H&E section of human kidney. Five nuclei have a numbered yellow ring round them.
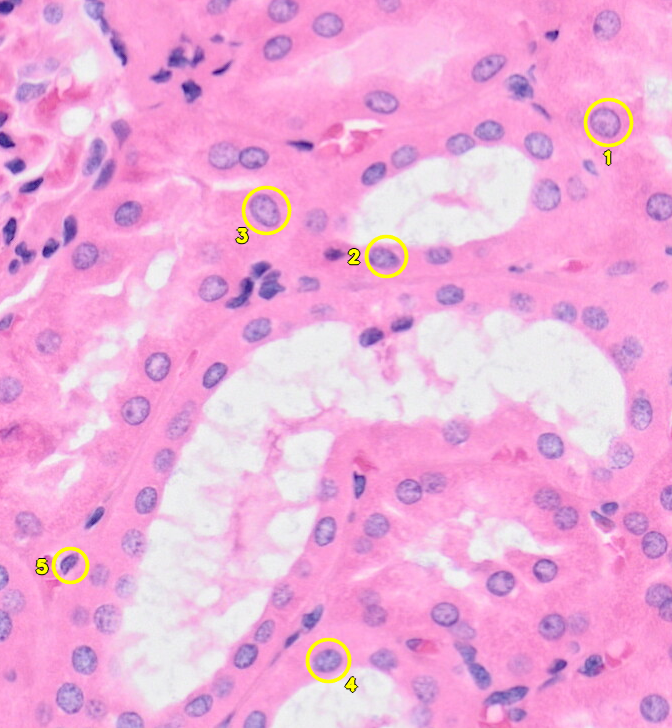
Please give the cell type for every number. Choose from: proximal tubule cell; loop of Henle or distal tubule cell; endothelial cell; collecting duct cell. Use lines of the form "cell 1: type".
cell 1: proximal tubule cell
cell 2: loop of Henle or distal tubule cell
cell 3: proximal tubule cell
cell 4: loop of Henle or distal tubule cell
cell 5: endothelial cell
